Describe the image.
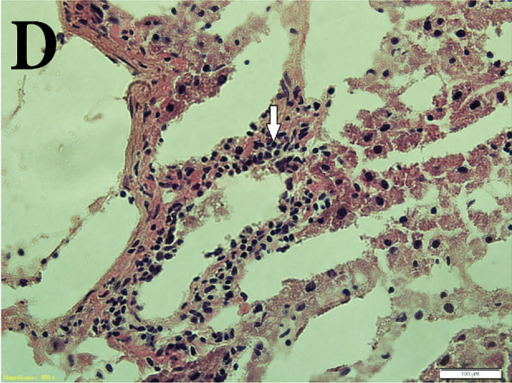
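Liver tissue with cords of polygonal cells having pale pink cytoplasm and round nuclei, separated by wide pale spaces. Along the walls of a large vessel and the adjoining channels lie many small cells with dark, compact, often elongated nuclei, crowded in rows and clusters. The vessel wall itself is a band of pink fibrous tissue with flattened nuclei.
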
